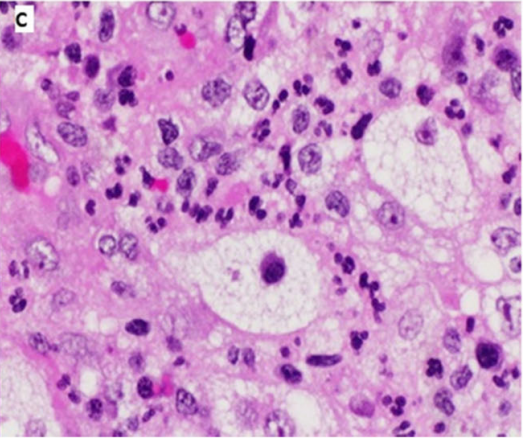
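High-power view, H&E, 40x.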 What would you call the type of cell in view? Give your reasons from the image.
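Histiocyte. A large cell with abundant pale, finely vacuolated cytoplasm lies in the centre. A single small dark round nucleus lies within its cytoplasm. Smaller cells with lobed nuclei lie around it.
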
